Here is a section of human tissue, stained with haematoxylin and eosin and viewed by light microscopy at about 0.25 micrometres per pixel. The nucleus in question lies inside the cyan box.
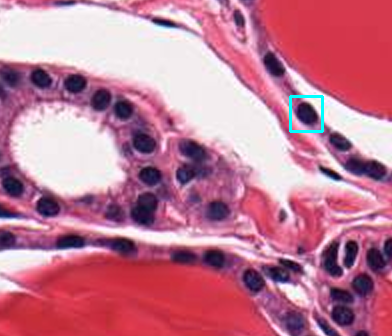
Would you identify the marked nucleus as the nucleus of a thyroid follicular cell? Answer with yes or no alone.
yes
